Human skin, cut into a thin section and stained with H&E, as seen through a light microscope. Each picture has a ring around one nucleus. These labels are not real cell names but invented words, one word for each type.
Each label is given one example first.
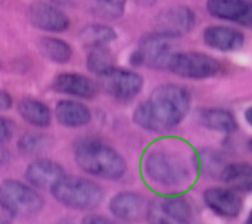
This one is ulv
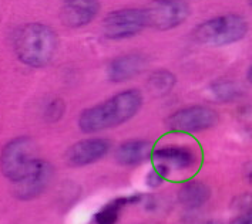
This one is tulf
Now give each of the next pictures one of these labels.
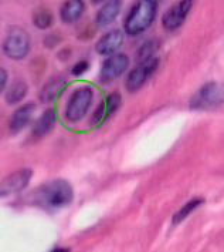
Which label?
tulf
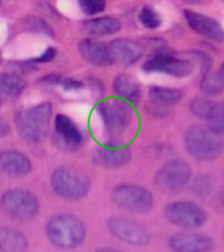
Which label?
tulf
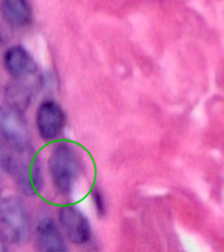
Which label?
tulf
